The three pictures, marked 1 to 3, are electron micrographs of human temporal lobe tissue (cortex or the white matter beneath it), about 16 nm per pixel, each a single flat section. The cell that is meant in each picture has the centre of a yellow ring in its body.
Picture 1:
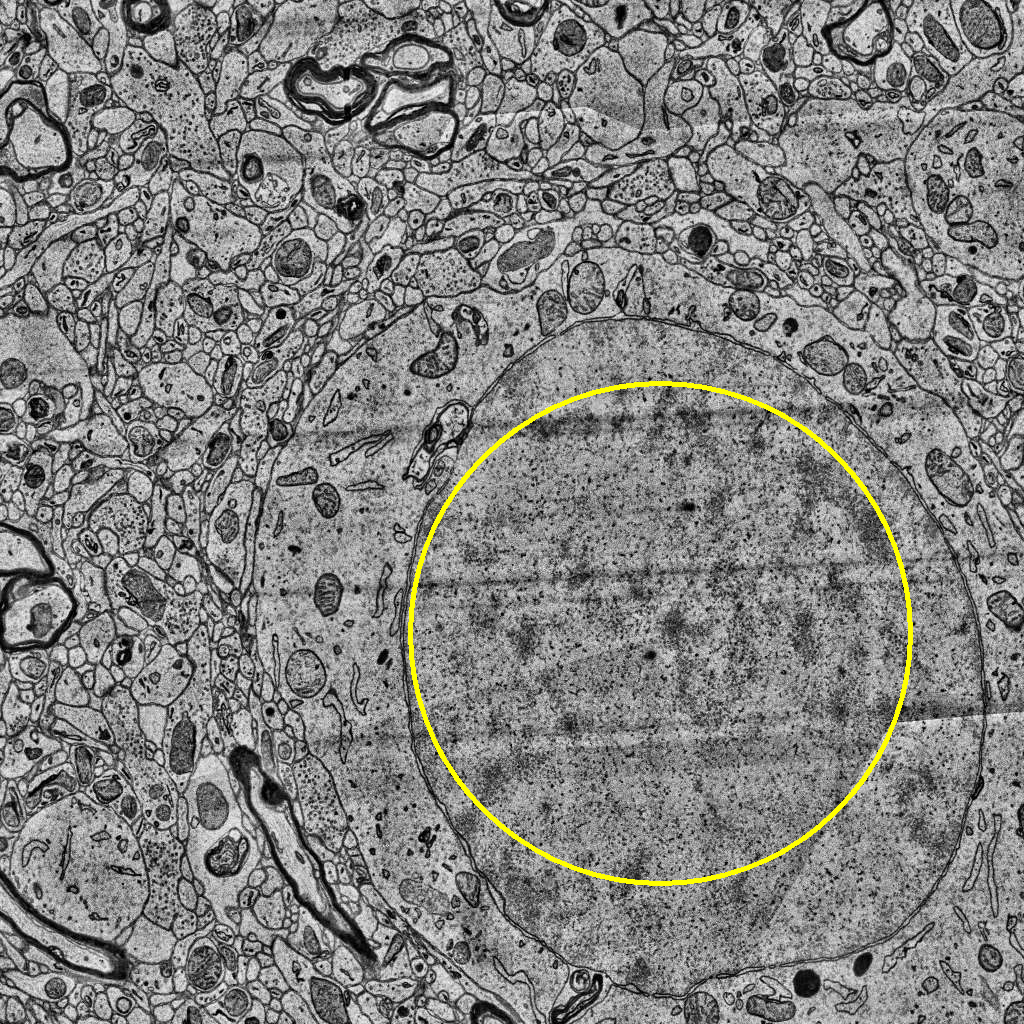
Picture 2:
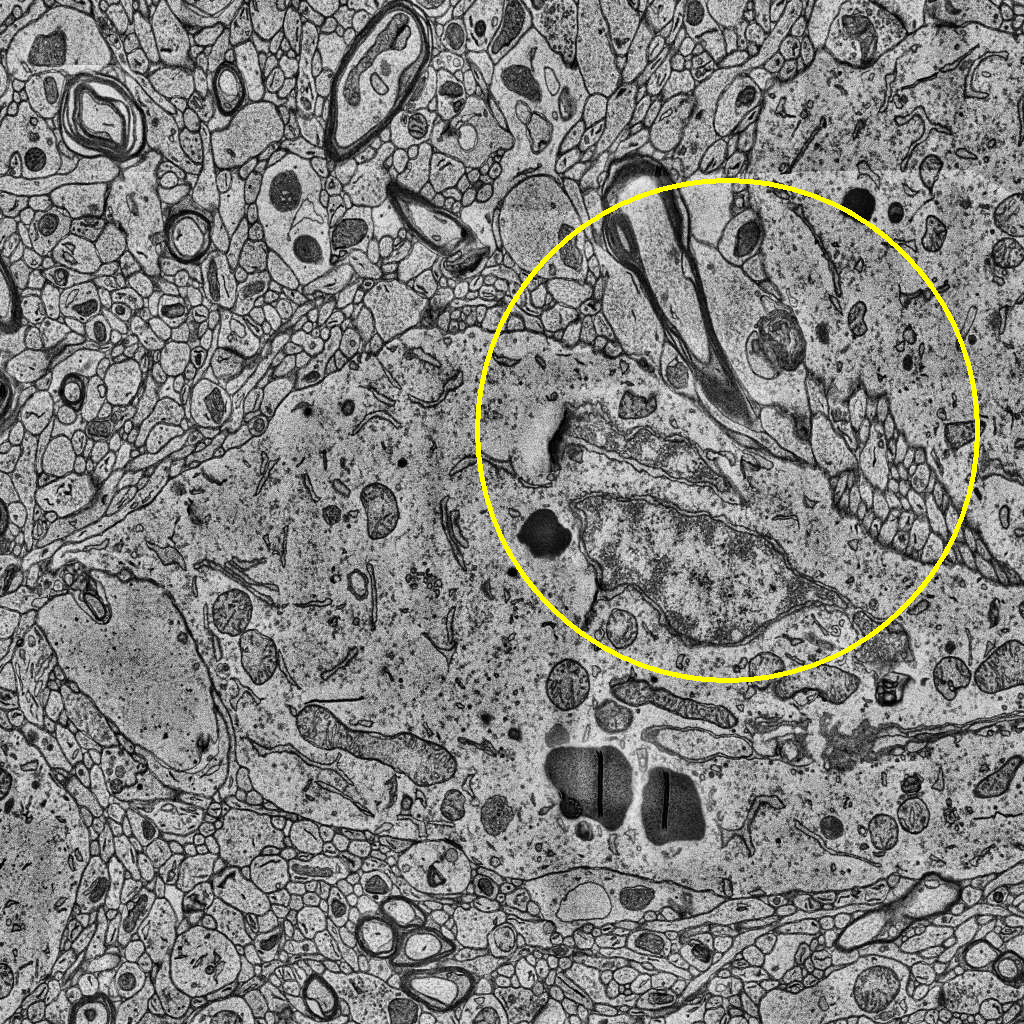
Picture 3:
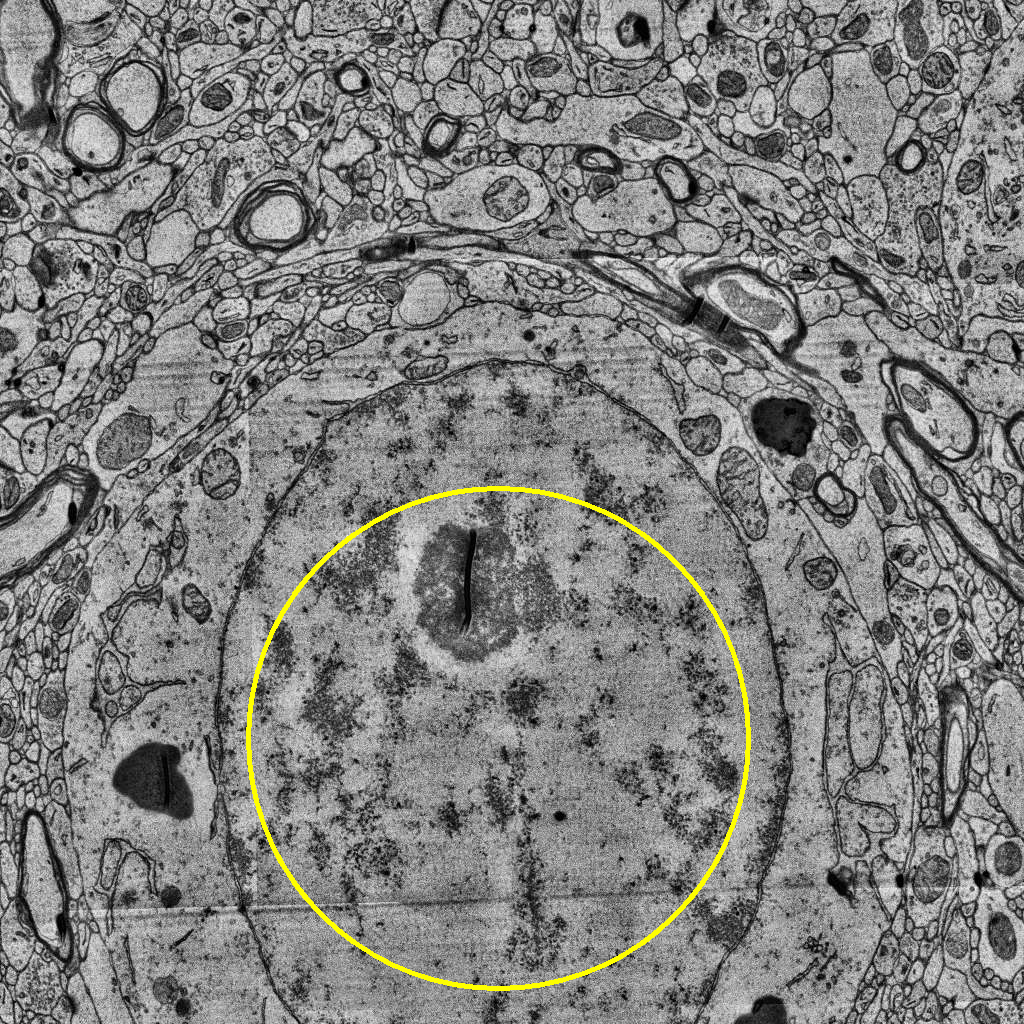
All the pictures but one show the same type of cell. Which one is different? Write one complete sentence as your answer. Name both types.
All pictures except 3 show interneurons; picture 3 shows a pyramidal neuron.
